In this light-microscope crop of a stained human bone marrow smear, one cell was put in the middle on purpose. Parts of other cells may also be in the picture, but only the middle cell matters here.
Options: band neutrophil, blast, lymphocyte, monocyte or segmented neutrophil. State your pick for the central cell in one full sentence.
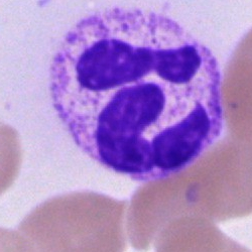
The cell featured at the centre of this crop is a segmented neutrophil.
